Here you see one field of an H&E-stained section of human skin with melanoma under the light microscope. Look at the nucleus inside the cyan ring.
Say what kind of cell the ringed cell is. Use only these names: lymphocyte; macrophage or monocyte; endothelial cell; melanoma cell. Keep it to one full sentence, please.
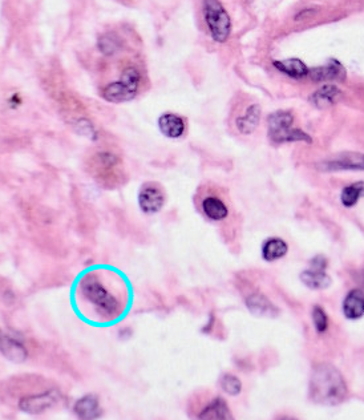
In the stained section, the ringed cell is a macrophage or monocyte.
